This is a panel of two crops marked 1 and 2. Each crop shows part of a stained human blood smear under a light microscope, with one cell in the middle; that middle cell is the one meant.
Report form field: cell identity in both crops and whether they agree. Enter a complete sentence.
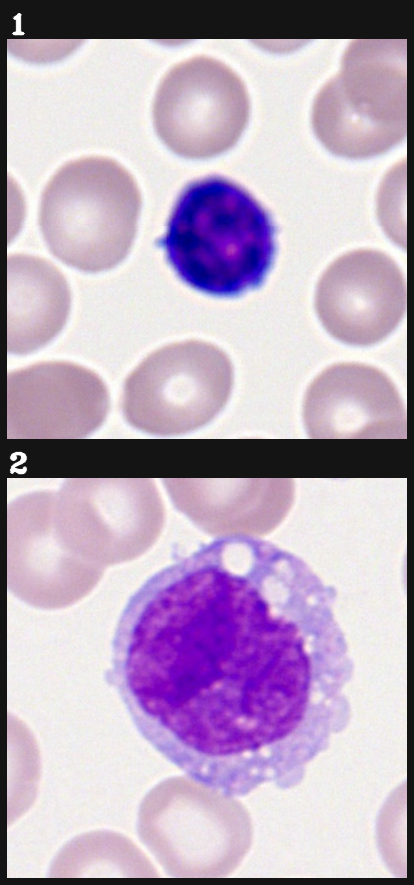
No, crop 1 features a lymphocyte, and crop 2 features a monocyte.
